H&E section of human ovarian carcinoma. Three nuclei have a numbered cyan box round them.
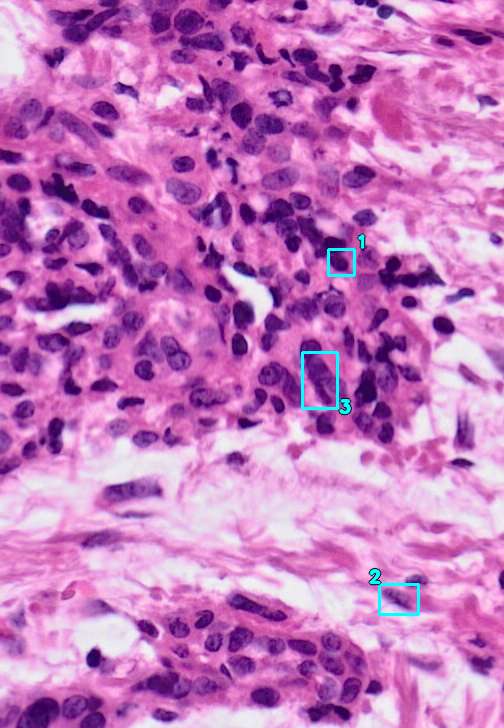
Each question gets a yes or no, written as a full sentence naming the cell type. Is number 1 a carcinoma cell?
Yes, the marked cell number 1 is a carcinoma cell.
